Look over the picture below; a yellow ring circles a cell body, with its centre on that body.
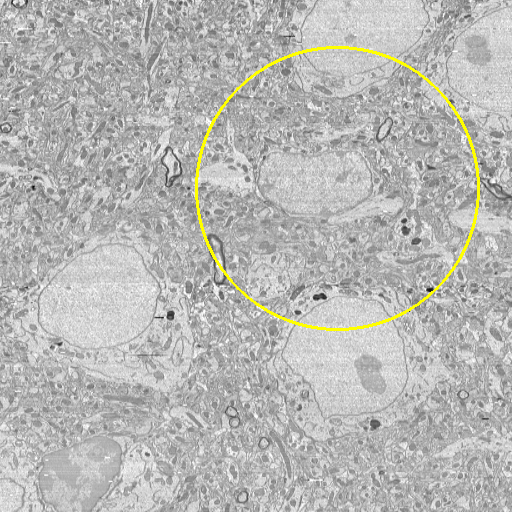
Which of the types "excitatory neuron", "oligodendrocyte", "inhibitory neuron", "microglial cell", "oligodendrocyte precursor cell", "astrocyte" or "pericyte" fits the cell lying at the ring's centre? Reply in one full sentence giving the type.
The picture shows an oligodendrocyte precursor cell at the centre of the yellow ring.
